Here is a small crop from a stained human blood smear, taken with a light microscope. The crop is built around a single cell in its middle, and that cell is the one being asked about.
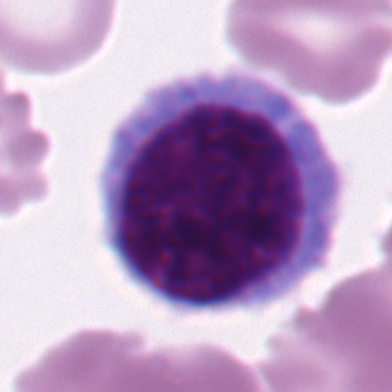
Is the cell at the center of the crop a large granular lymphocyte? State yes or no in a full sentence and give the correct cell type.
No, the correct answer for the middle cell is a hairy cell, not a large granular lymphocyte.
